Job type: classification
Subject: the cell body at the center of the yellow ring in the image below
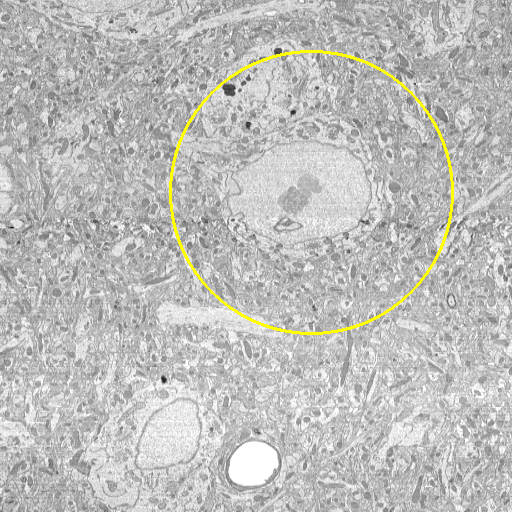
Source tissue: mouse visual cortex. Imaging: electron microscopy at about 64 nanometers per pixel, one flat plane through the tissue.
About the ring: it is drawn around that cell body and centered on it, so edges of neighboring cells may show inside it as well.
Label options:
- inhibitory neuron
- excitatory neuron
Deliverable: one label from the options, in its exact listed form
inhibitory neuron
